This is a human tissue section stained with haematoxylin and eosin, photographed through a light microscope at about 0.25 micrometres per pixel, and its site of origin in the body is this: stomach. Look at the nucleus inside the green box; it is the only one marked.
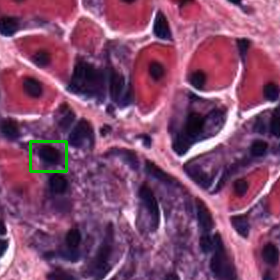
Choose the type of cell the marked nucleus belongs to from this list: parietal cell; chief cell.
chief cell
